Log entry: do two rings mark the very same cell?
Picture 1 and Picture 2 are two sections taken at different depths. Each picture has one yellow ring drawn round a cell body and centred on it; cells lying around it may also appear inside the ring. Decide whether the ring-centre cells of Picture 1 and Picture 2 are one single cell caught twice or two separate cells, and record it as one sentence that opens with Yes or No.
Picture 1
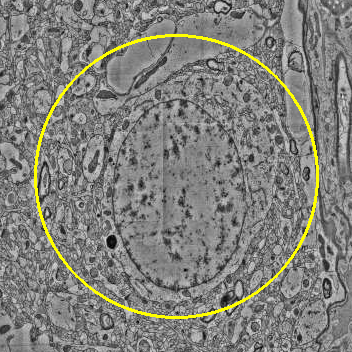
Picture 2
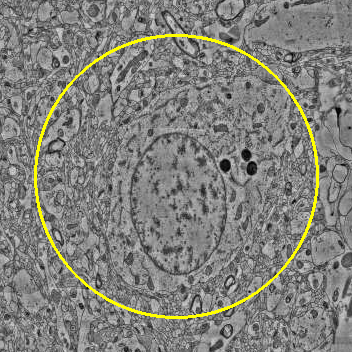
Yes, the same cell turns up inside each of the two rings.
